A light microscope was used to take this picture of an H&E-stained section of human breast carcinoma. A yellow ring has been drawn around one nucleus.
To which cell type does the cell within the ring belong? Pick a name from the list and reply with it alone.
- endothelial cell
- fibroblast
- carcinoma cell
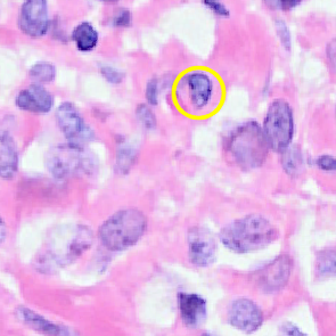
endothelial cell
